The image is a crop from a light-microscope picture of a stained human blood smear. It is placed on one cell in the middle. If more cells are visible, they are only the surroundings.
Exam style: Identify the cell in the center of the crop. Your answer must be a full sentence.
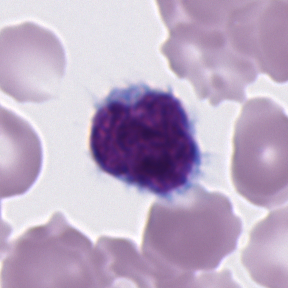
The central cell, amid any neighbouring cells, is a hairy cell.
